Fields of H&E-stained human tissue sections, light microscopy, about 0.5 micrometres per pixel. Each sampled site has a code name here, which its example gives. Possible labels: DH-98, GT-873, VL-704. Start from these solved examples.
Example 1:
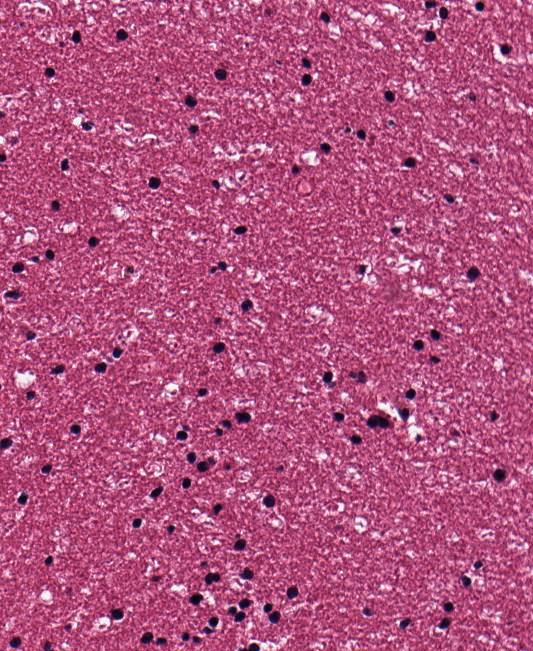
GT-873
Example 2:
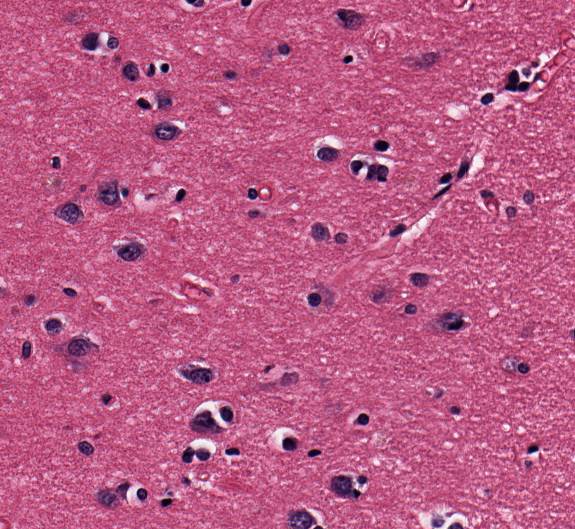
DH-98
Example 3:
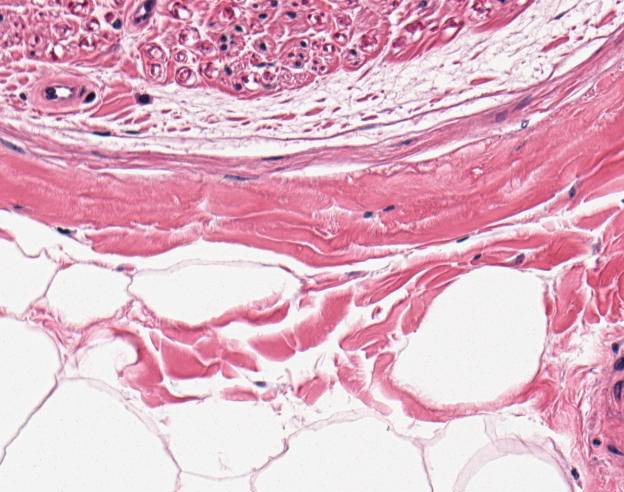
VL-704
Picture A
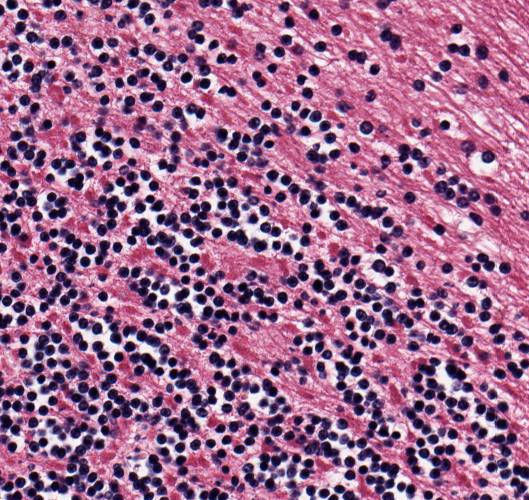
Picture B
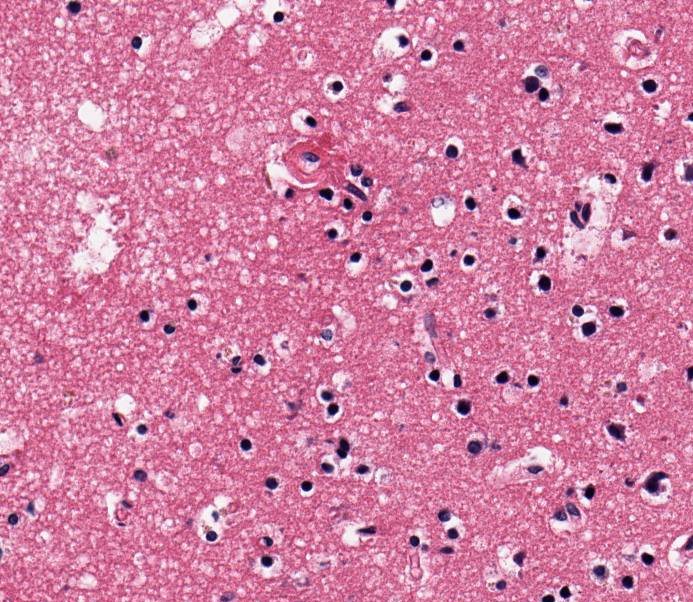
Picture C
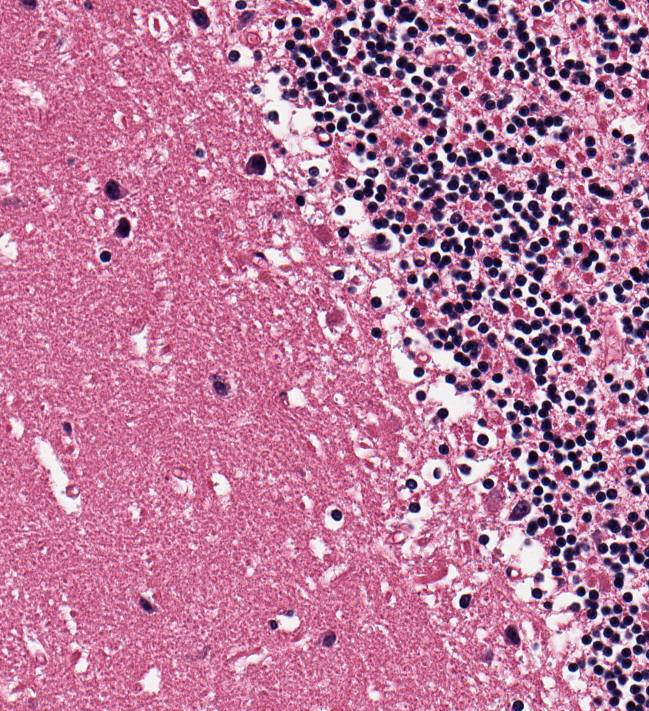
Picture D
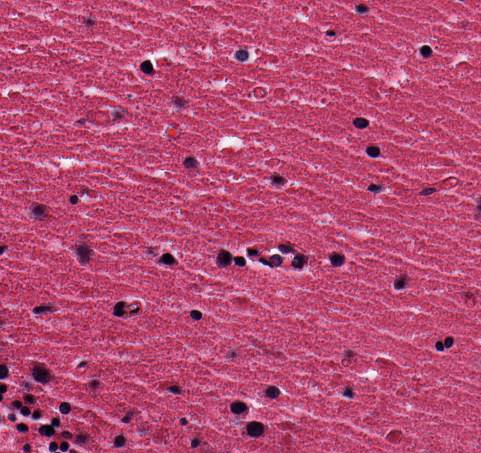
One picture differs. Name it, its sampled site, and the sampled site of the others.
Exception: B, showing DH-98. Remaining pictures: GT-873.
